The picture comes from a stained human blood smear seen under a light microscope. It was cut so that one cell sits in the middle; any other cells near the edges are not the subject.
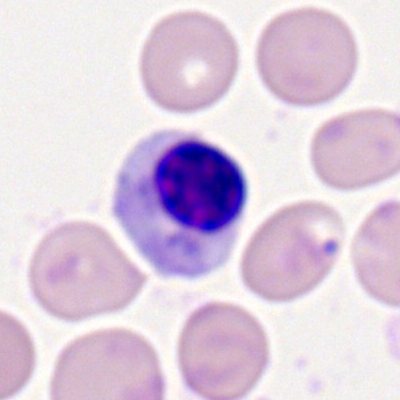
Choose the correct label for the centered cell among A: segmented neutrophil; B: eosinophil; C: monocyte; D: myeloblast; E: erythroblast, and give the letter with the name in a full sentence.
The central cell of the crop is an erythroblast, which makes E the correct option.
